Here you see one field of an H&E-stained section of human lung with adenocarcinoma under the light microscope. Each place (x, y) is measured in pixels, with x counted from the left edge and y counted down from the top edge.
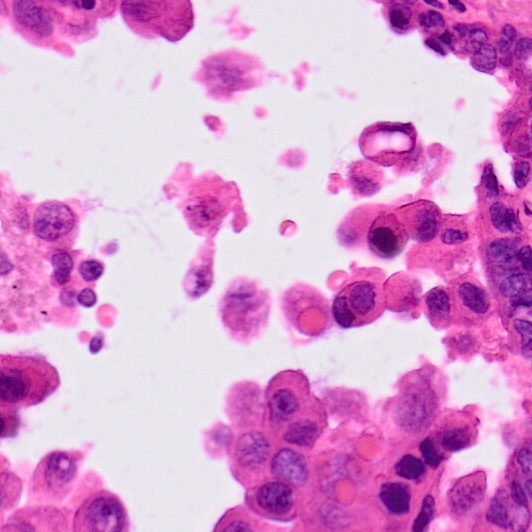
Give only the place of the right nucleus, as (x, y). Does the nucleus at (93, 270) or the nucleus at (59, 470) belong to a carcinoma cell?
(59, 470)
